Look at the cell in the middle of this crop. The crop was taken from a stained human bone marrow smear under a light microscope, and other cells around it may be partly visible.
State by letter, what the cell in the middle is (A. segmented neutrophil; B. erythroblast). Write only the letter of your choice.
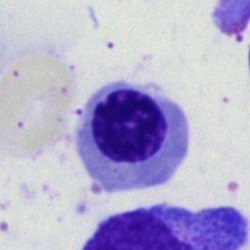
B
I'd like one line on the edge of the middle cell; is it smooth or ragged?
There are no projections here; the outline is simply smooth.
